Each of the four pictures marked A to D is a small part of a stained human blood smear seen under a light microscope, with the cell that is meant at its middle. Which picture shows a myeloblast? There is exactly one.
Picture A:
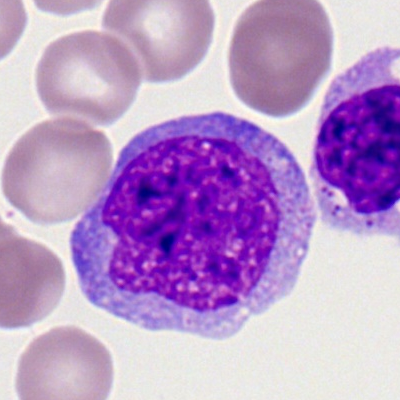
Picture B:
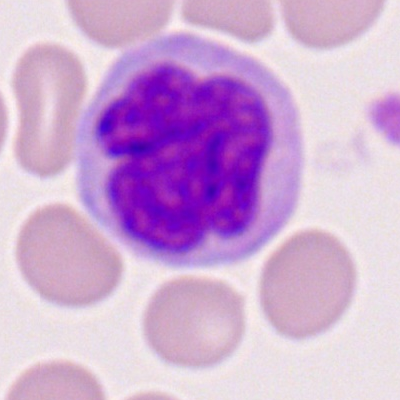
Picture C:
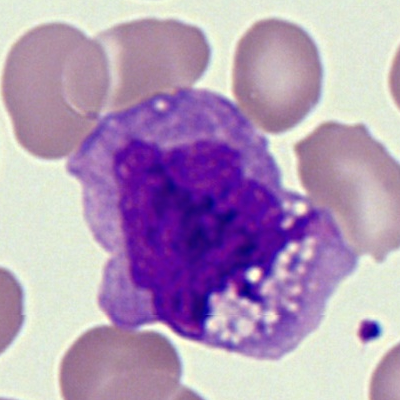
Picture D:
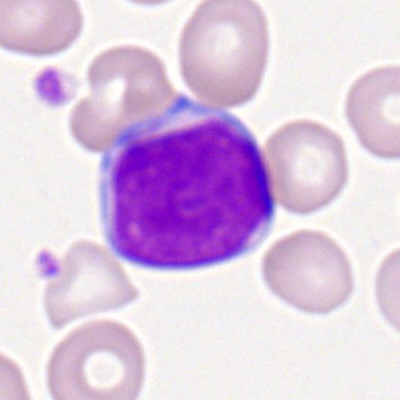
D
